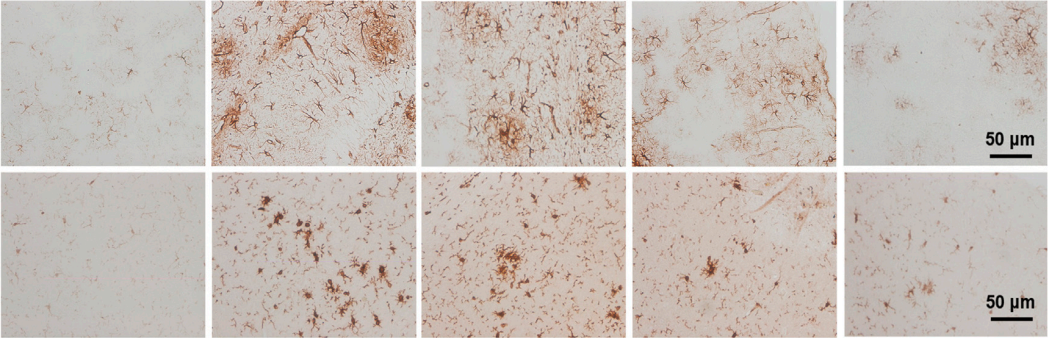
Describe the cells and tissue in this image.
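Ten brightfield images of brain tissue in two rows show brown-stained glial cells on a pale background. In the top row the astrocytes are star-shaped, with many long, thin, radiating processes; in several images they crowd into dense patches of darkly stained, interwoven processes, while in others they lie sparse and evenly spaced. In the bottom row the microglia are smaller, with compact bodies and short, branched processes; in some images they are scattered singly, in others they gather into dark, compact clusters. The background between the stained cells is faint and shows little structure.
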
